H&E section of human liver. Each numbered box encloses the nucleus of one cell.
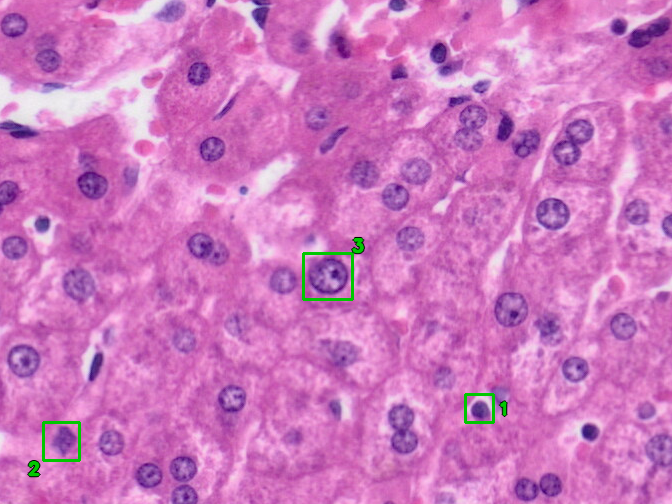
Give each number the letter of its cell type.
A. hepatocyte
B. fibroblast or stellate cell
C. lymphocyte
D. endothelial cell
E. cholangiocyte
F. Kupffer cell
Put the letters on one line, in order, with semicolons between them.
C; D; A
